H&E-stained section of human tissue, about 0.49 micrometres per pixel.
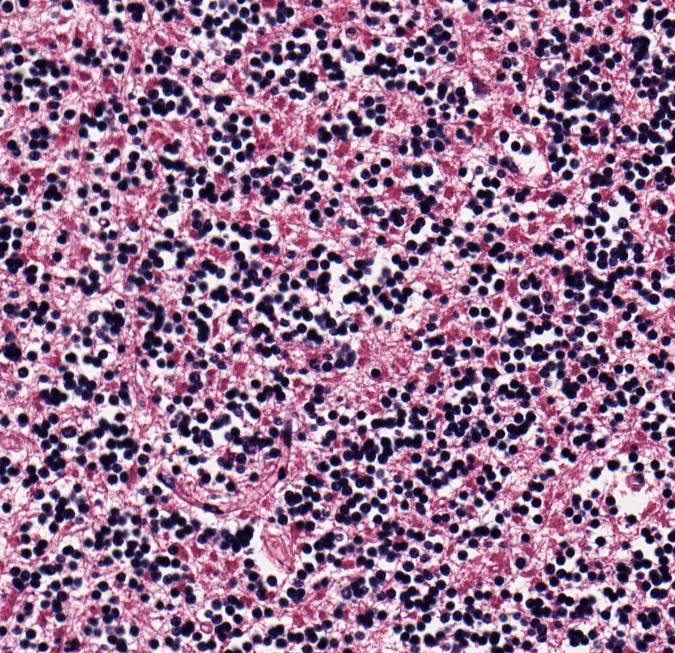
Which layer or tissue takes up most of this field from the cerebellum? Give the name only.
granular layer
